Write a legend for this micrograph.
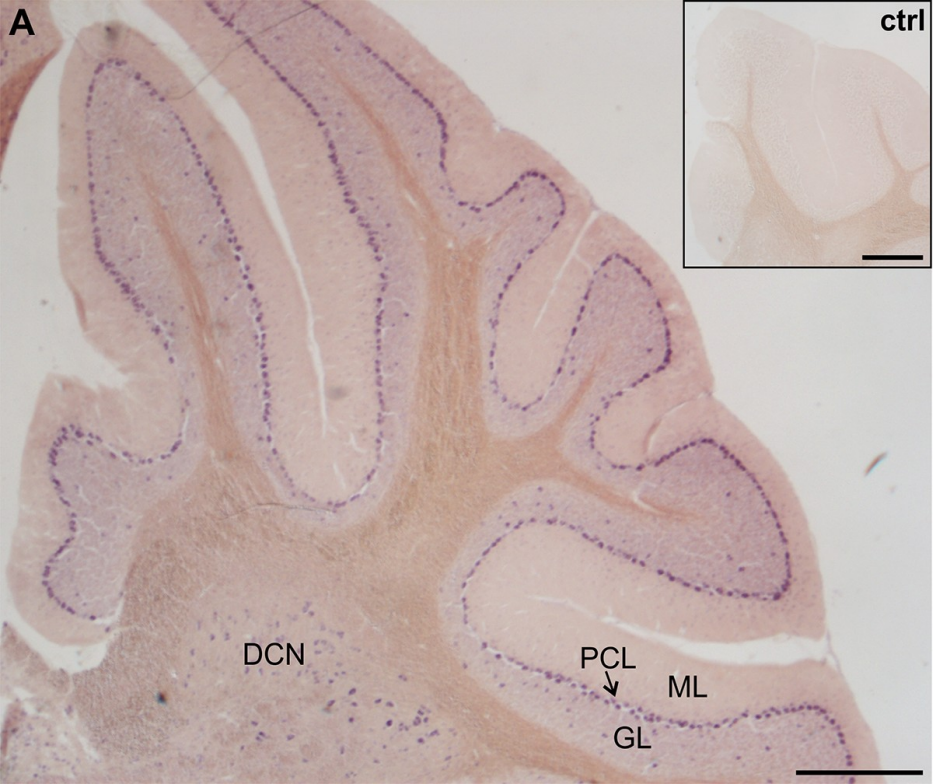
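Sagittal section of cerebellum with branching folia, each made of a pale outer molecular layer over a denser granule layer, around a core of brownish white matter. The inset section shows no purple labelling.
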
